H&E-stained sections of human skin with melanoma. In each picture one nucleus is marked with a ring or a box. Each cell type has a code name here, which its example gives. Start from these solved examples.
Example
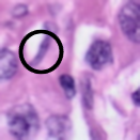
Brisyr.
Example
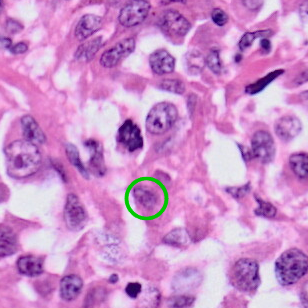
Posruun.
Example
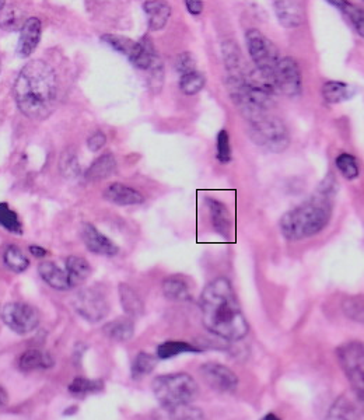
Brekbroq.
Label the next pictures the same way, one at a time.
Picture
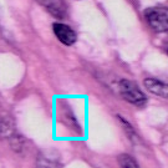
Brisyr.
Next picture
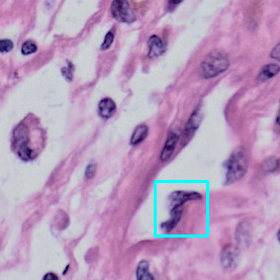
Brisyr.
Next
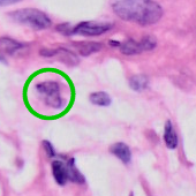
Brekbroq.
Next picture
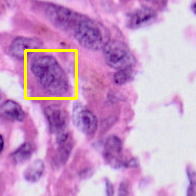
Posruun.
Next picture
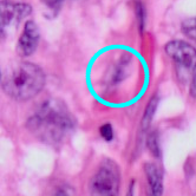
Brisyr.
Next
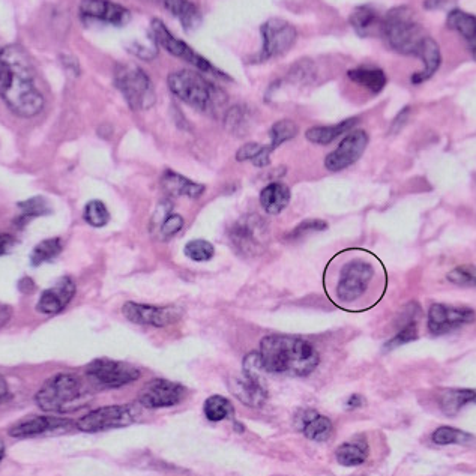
Brekbroq.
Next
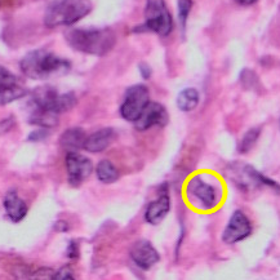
Brekbroq.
